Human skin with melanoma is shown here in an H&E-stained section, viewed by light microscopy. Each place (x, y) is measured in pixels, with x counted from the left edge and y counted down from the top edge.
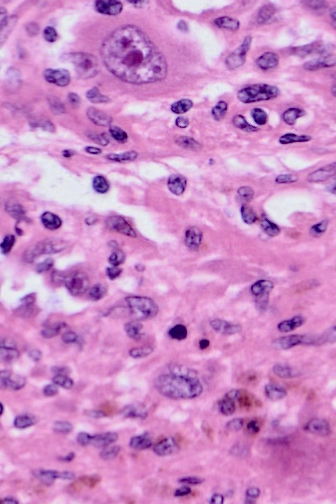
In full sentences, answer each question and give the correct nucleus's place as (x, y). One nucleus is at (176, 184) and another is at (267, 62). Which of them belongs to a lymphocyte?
Of these two nuclei, it is the one at (176, 184) that belongs to a lymphocyte.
